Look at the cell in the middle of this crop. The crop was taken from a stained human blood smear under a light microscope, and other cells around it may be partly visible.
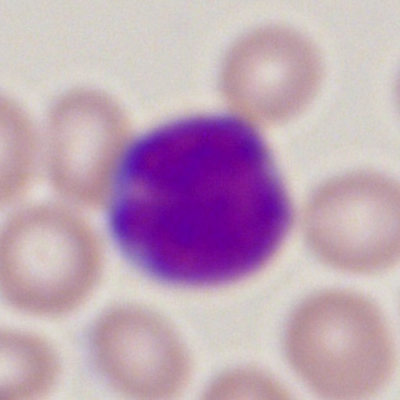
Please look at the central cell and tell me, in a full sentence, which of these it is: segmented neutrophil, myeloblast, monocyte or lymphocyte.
The cell marked by its central position in the crop is a myeloblast.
